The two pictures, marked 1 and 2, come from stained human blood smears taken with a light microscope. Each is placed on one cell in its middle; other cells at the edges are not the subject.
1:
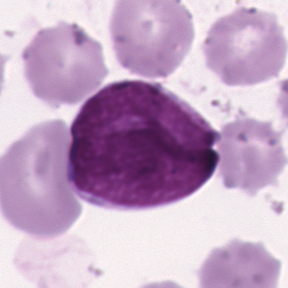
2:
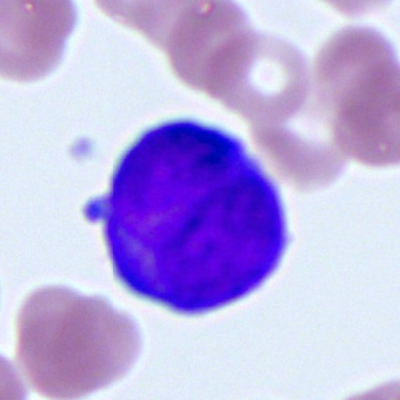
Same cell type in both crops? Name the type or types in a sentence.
Yes, both crops show blasts in their central position.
